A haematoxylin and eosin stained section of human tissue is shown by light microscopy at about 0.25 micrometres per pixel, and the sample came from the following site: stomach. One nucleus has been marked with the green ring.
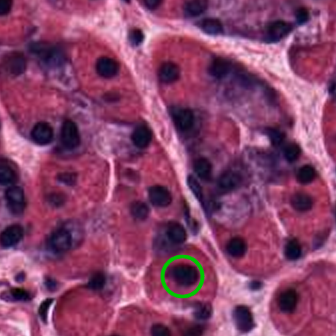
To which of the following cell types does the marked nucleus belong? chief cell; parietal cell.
parietal cell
